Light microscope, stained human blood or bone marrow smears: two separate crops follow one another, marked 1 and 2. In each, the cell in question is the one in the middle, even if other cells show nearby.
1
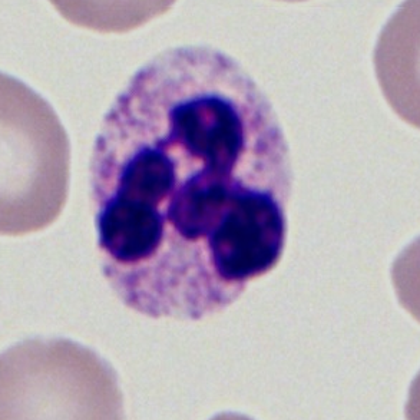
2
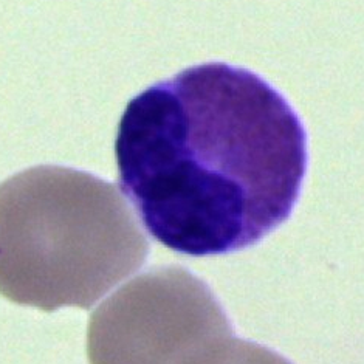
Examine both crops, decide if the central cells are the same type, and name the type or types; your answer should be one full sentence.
No, in fact crop 1 shows a segmented neutrophil, and crop 2 shows an eosinophil.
